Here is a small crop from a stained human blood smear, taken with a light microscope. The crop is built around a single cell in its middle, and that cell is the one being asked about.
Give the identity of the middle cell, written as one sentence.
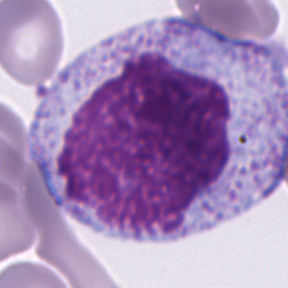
This crop has a promyelocyte at its centre.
